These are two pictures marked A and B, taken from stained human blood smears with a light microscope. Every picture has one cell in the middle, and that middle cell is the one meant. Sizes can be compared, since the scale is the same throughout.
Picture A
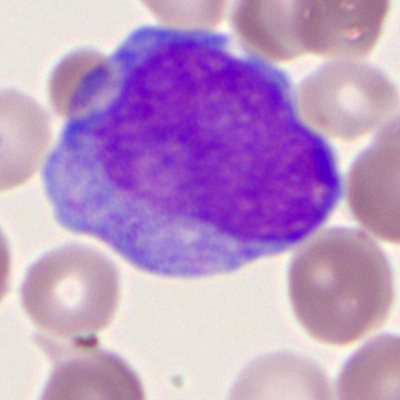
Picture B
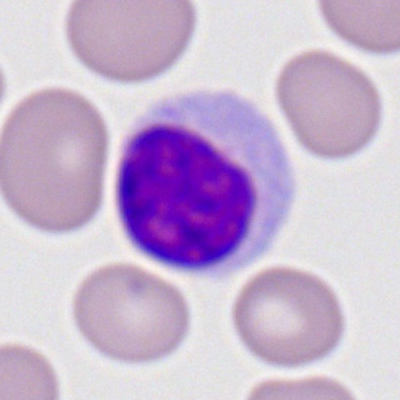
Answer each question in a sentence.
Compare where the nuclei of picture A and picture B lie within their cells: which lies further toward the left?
In picture B the nucleus is shifted more toward the left.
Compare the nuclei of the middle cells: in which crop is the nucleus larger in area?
It is the nucleus in picture A, about 2.5 times as large in area as the one in picture B.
